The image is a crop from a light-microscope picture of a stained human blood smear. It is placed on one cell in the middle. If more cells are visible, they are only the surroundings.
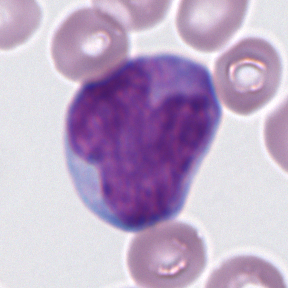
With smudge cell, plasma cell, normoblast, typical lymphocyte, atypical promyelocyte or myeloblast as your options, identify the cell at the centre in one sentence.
The target cell in the middle of the crop is an atypical promyelocyte.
